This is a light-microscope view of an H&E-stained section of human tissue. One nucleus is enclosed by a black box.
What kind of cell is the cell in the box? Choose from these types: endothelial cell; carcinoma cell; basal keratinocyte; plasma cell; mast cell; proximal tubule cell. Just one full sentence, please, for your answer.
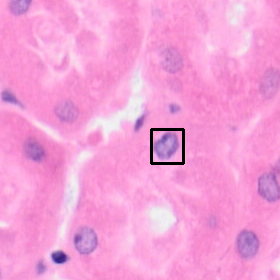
As to its cell type, the cell in the box is a proximal tubule cell.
